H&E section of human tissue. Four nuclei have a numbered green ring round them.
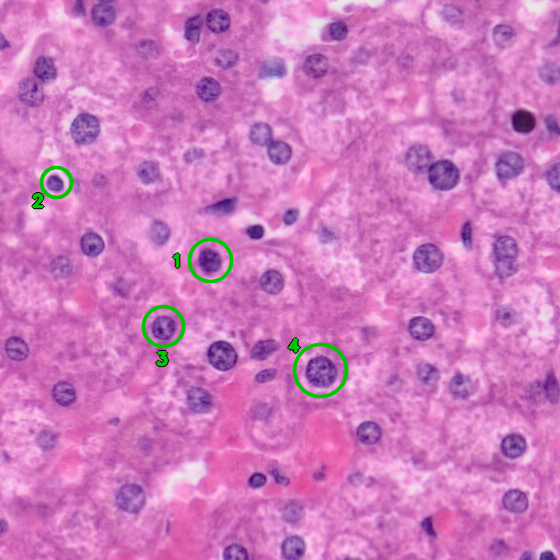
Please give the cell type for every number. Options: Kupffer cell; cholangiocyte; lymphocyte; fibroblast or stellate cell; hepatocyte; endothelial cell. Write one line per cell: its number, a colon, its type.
1: hepatocyte
2: lymphocyte
3: hepatocyte
4: hepatocyte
